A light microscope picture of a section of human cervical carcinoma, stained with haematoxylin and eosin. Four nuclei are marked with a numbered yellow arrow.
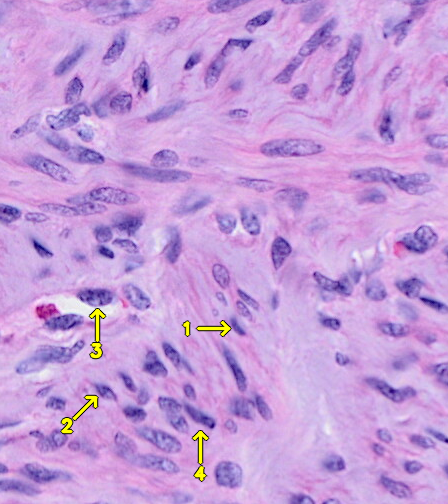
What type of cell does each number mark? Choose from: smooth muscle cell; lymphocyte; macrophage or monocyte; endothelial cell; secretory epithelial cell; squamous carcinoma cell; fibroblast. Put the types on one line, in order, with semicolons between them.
smooth muscle cell; smooth muscle cell; endothelial cell; smooth muscle cell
